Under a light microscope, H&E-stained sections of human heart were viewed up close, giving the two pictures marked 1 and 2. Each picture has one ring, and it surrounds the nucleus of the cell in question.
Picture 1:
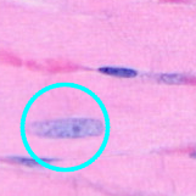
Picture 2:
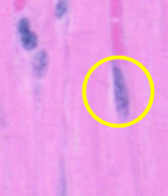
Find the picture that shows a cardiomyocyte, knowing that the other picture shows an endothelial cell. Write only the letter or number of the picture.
1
